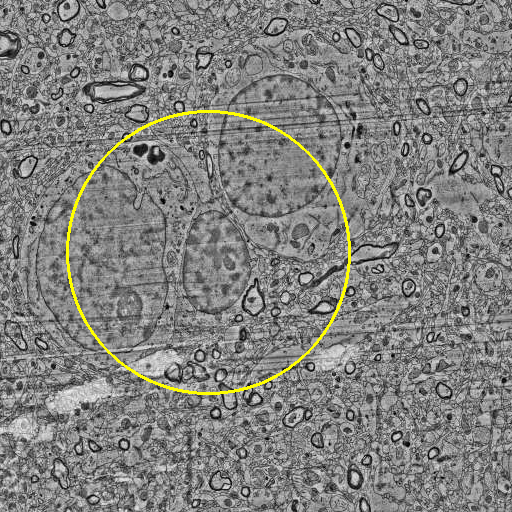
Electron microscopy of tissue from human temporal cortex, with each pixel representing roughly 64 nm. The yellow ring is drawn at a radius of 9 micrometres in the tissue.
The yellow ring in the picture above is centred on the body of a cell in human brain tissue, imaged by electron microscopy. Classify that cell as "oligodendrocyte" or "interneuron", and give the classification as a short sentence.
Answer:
The cell in the middle of the ring is an oligodendrocyte.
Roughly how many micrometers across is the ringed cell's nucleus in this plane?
Approximately 7 by 4 micrometers in this plane.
